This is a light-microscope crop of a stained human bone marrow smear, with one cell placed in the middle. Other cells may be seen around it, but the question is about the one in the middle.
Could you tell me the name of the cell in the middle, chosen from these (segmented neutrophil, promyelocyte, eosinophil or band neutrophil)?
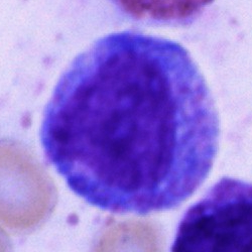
promyelocyte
